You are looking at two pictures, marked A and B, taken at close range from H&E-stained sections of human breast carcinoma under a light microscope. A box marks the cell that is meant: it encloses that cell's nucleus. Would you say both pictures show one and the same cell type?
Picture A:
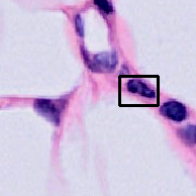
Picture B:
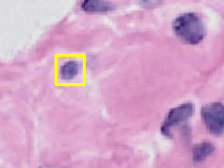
yes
